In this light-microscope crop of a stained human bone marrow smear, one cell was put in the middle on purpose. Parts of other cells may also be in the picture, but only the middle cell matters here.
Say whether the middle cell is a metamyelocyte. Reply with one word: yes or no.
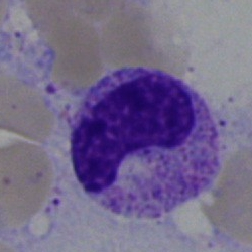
yes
